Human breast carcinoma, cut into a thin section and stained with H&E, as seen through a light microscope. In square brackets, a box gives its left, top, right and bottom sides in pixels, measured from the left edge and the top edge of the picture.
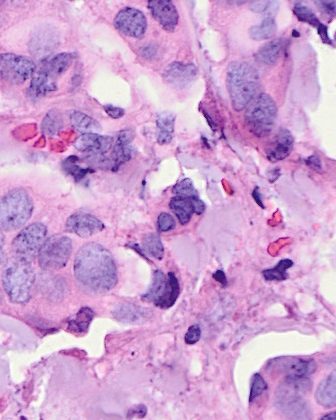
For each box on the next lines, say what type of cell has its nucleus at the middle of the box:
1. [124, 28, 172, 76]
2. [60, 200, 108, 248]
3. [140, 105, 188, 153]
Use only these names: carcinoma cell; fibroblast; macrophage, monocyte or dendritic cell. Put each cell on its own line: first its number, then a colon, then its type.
1: carcinoma cell
2: carcinoma cell
3: macrophage, monocyte or dendritic cell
